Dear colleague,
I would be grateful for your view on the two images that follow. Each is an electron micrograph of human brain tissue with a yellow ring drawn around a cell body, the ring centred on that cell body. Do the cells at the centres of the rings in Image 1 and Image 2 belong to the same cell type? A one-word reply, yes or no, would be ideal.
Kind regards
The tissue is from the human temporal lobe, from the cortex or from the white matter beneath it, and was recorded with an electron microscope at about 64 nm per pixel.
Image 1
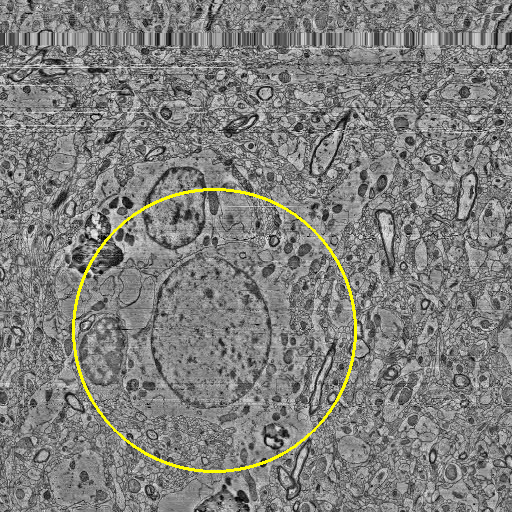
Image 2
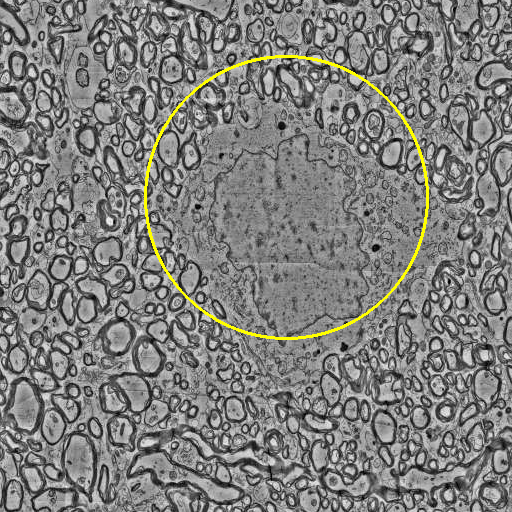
no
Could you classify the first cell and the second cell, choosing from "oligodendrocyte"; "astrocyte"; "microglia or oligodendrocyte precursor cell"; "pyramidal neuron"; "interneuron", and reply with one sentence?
The second cell is a pyramidal neuron, while the first is an astrocyte.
